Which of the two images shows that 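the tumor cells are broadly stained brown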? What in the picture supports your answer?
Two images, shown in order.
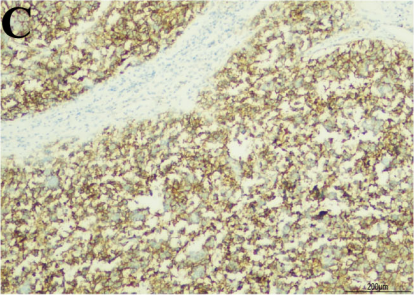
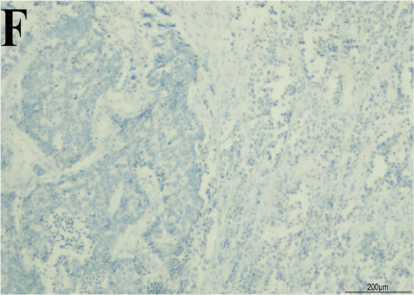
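The first image. Second image: tumor cells show only blue counterstain, no brown. First image: nearly all tumor cells carry brown stain, sparing a pale stromal band.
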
